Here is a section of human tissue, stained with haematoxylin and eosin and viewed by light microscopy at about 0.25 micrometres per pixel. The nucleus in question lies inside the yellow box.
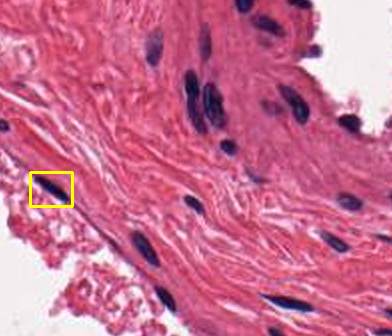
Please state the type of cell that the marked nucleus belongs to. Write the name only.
endothelial cell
